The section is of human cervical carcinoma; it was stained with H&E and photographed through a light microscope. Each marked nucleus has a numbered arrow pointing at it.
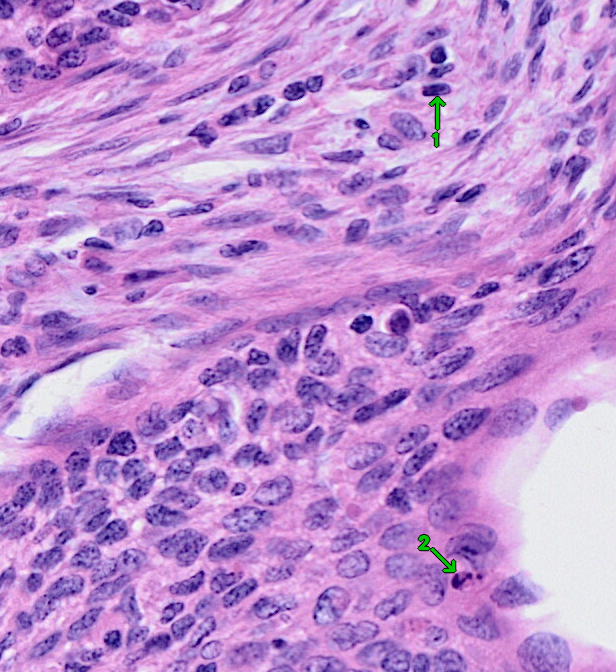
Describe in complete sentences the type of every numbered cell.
Cell 1 is a lymphocyte and cell 2 is a squamous carcinoma cell.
